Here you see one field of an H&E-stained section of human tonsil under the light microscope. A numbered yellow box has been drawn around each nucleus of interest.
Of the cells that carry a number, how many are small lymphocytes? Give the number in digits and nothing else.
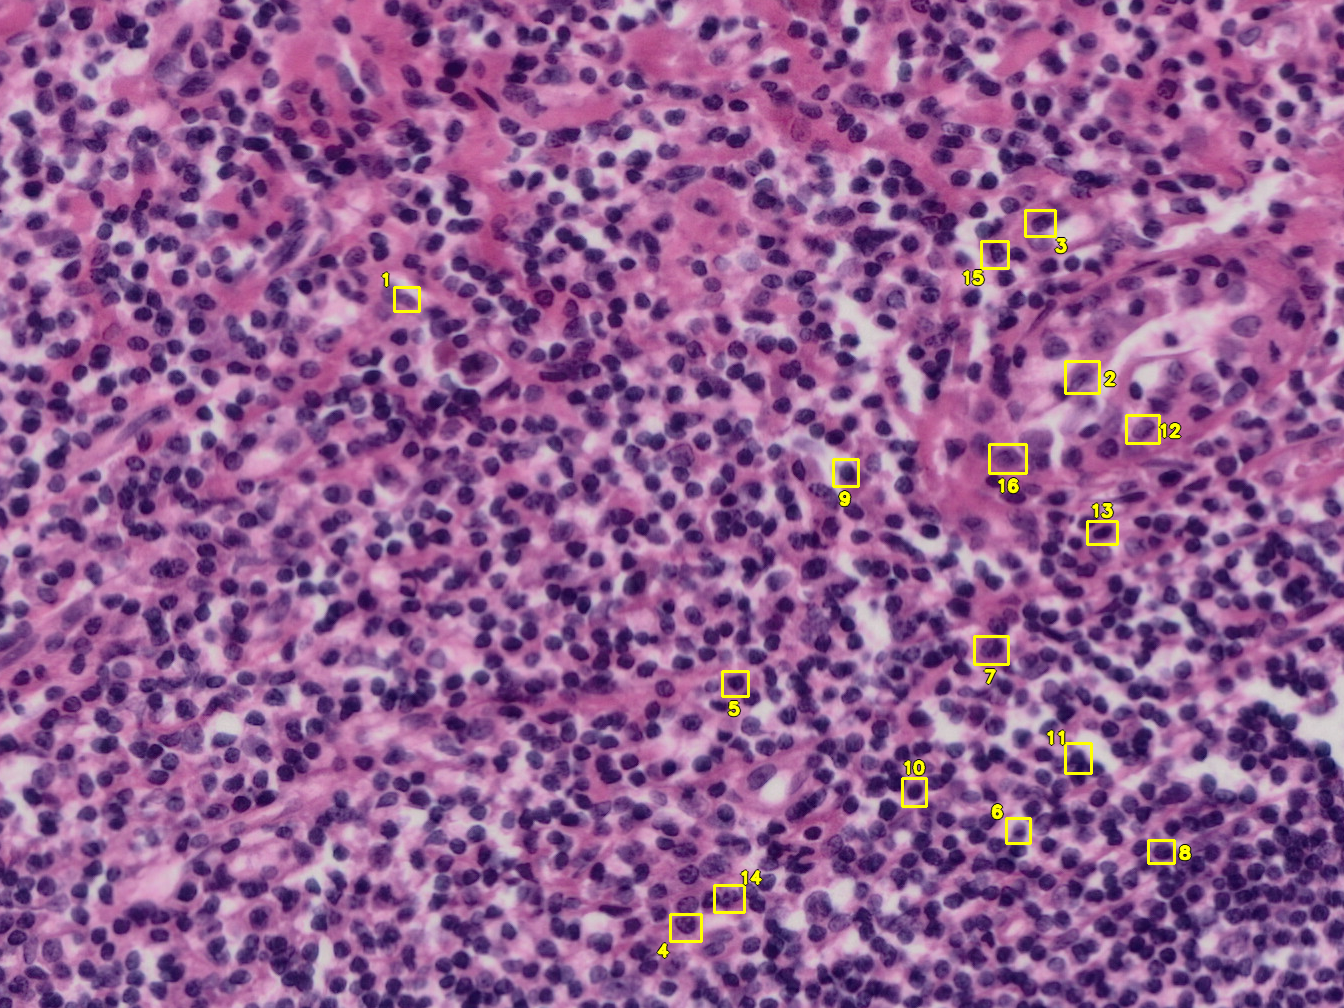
4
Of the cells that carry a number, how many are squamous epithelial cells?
3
